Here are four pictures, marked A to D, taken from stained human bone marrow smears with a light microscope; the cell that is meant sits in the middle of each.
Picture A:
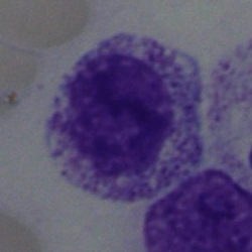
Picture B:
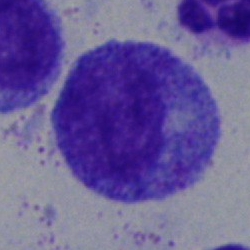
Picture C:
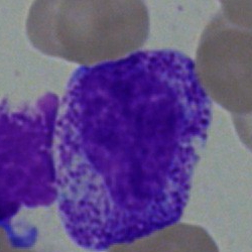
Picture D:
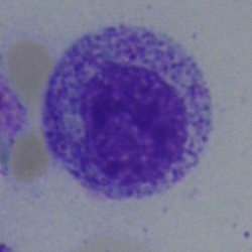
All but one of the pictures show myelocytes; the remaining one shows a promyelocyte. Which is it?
B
